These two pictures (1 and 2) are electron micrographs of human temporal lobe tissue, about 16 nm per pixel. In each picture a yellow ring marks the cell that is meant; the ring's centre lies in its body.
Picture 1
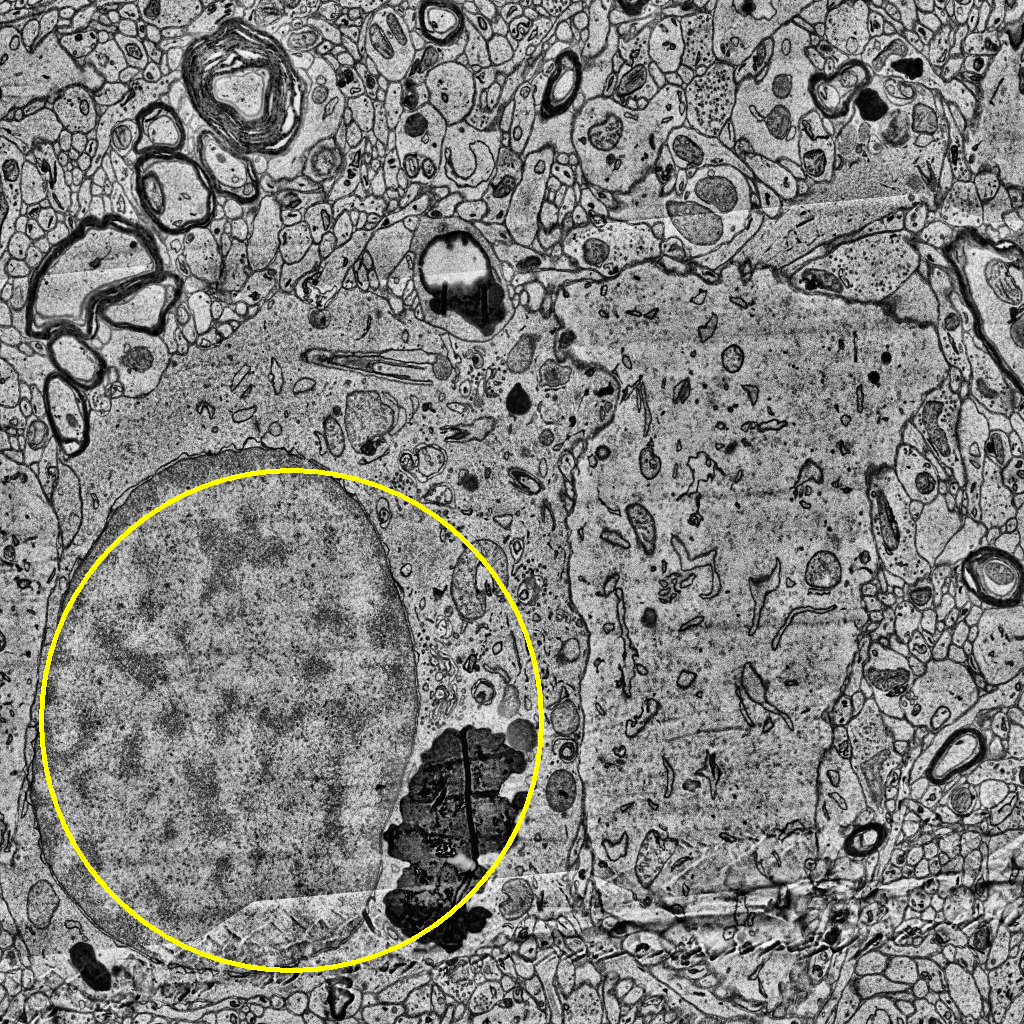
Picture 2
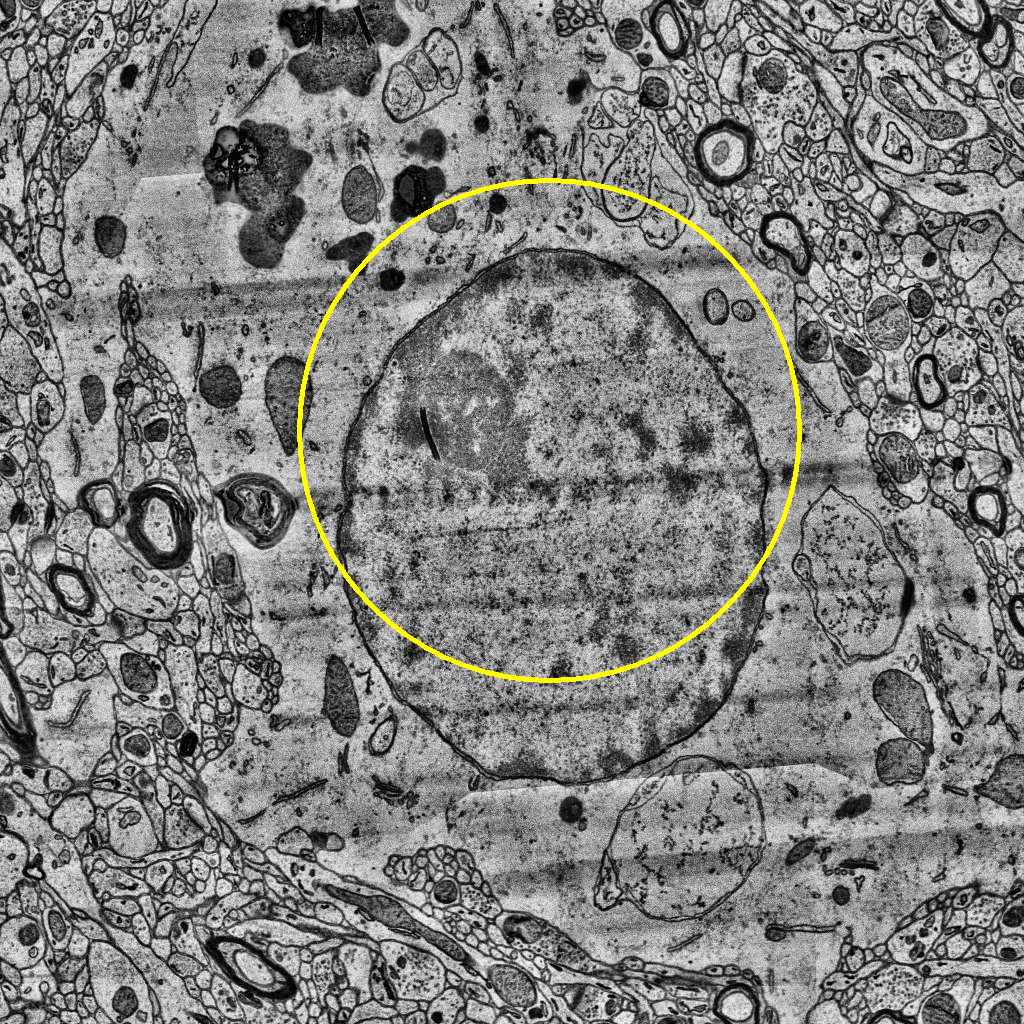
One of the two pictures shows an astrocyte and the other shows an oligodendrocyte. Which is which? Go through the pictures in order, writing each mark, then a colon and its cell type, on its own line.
1: oligodendrocyte
2: astrocyte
